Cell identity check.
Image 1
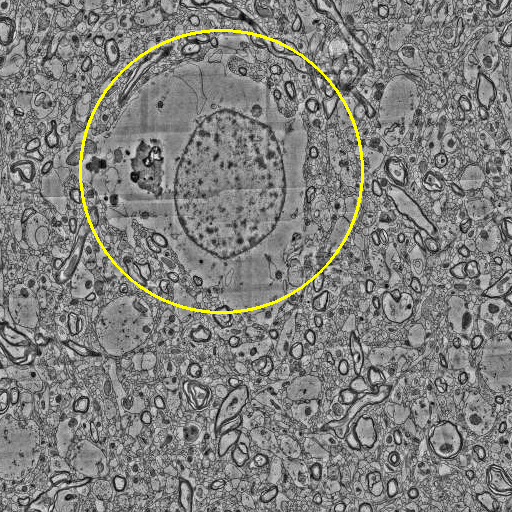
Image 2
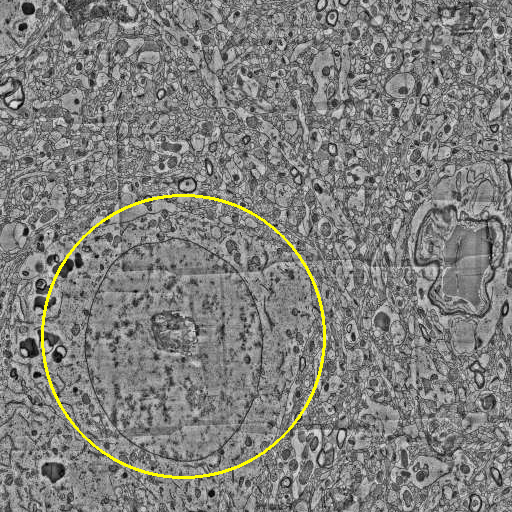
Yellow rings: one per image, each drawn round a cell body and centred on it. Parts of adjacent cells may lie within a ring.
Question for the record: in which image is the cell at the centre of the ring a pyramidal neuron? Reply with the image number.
2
